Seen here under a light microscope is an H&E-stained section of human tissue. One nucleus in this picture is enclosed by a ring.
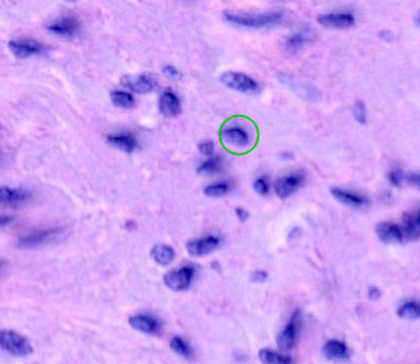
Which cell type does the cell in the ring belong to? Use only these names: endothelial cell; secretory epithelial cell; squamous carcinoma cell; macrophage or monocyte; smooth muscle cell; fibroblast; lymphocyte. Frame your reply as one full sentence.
What the cell in the ring represents is a fibroblast.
